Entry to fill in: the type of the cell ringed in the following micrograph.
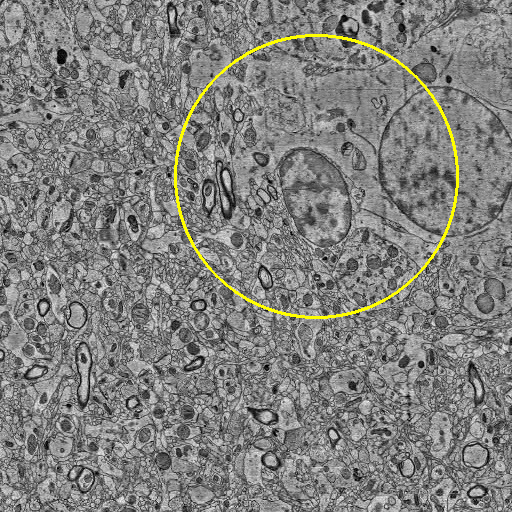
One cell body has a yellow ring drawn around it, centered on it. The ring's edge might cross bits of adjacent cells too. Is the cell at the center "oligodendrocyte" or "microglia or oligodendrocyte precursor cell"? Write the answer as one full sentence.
This entry names a microglial cell or oligodendrocyte precursor cell as the cell whose body lies at the ring's center.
